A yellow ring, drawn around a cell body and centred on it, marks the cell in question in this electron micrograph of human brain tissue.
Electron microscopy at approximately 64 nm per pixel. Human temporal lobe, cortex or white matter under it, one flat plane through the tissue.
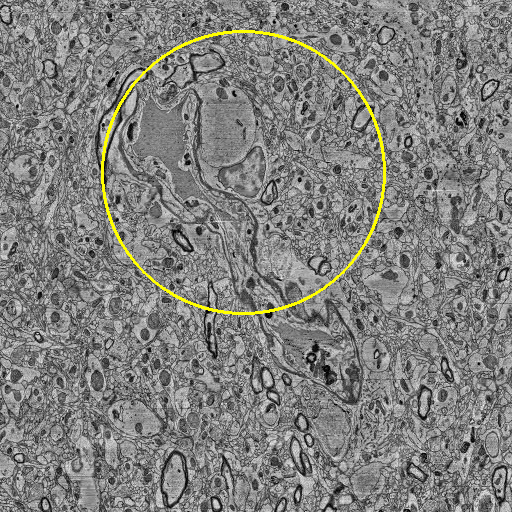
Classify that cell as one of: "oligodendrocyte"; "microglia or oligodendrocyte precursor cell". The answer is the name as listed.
microglia or oligodendrocyte precursor cell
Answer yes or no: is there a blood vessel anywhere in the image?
Yes.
